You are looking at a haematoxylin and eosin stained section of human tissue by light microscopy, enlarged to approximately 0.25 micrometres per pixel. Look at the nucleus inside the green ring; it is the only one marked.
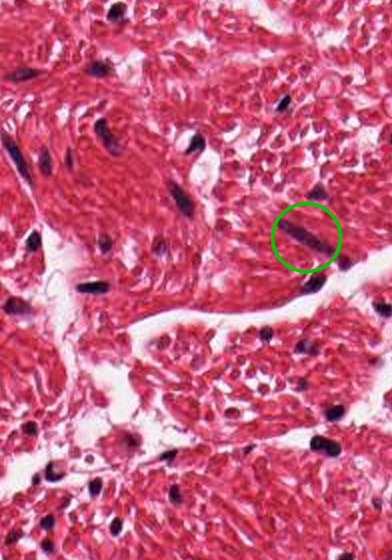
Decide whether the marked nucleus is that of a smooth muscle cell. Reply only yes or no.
yes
